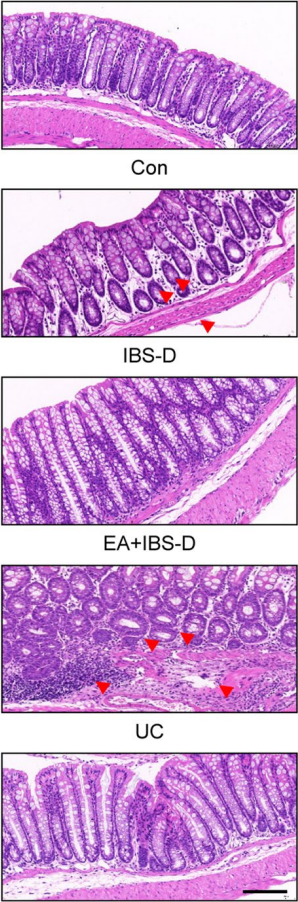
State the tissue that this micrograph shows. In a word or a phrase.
Colon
